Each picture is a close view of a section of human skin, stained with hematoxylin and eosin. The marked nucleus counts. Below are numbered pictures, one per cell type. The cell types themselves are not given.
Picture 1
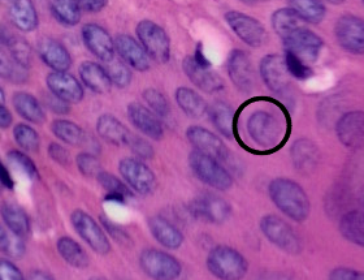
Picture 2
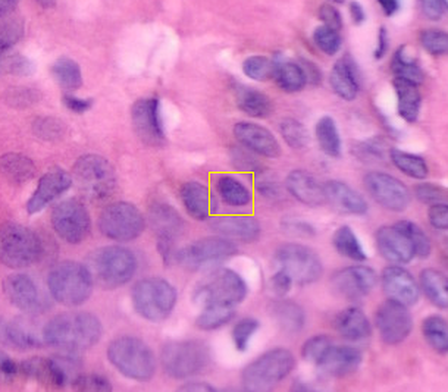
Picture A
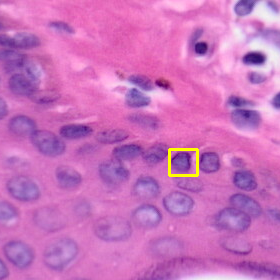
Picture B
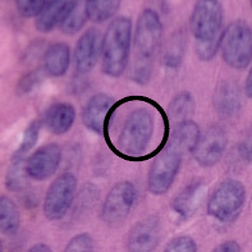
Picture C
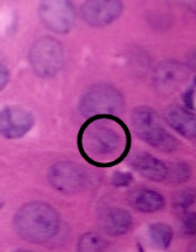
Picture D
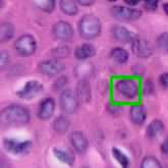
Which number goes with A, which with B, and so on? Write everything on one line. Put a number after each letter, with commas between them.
A 2, B 1, C 1, D 2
